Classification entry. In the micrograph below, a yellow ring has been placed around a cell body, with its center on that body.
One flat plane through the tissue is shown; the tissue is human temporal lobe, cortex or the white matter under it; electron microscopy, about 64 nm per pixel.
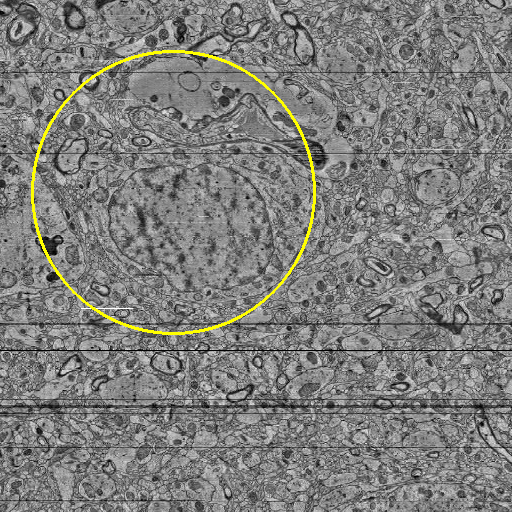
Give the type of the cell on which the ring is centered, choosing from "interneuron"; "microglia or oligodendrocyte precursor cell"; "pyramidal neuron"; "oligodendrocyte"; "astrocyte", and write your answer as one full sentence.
The cell body at the center of the yellow ring belongs to an interneuron.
